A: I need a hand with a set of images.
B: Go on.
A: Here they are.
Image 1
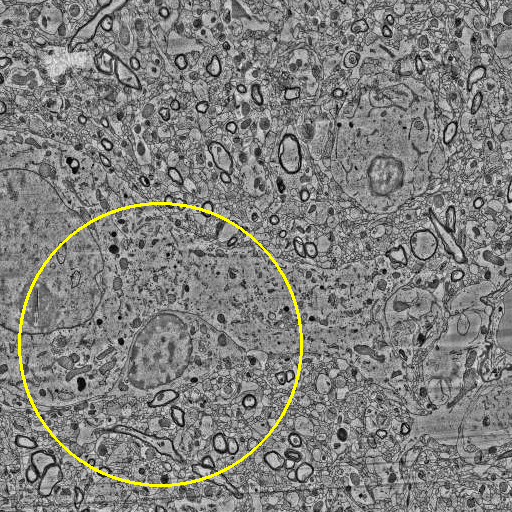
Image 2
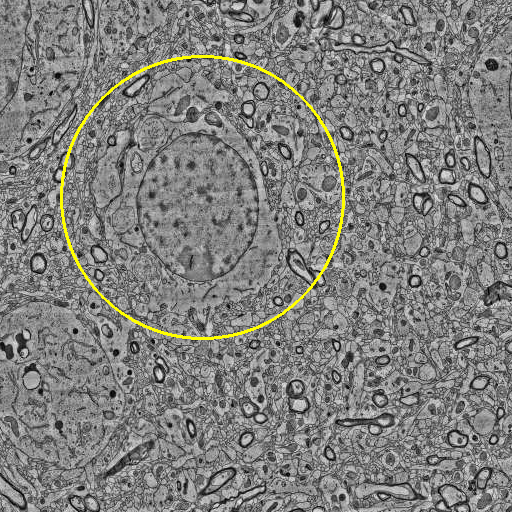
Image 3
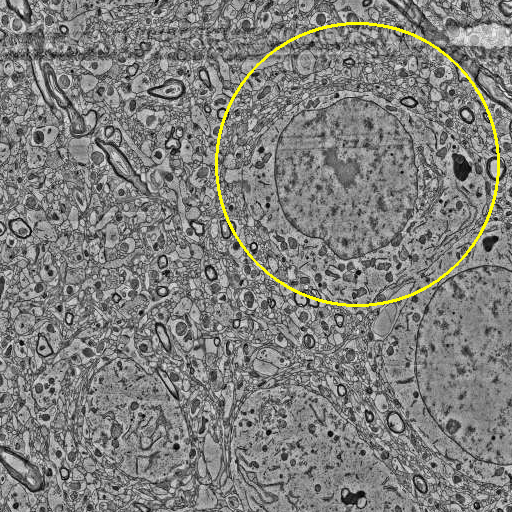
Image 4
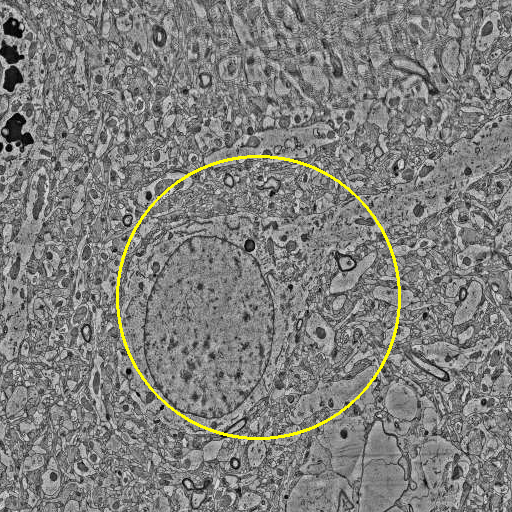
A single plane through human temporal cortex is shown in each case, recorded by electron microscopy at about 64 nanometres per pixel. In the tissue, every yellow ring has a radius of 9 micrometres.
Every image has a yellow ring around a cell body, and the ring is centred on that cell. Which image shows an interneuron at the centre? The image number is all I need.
3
